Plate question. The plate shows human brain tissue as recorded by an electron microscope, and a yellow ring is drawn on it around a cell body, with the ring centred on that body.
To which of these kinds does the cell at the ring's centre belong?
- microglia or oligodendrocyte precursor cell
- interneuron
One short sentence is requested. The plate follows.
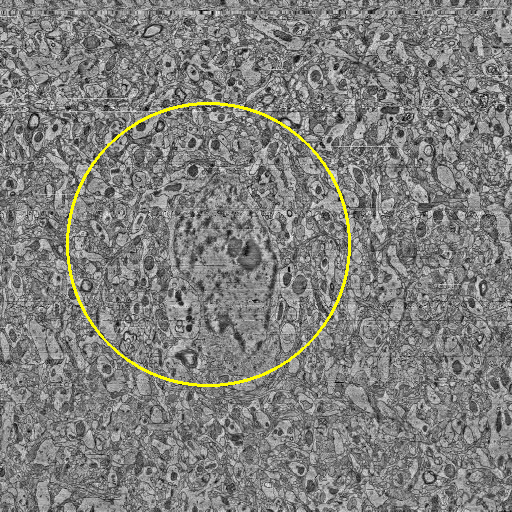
The cell at the ring's centre is an interneuron.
